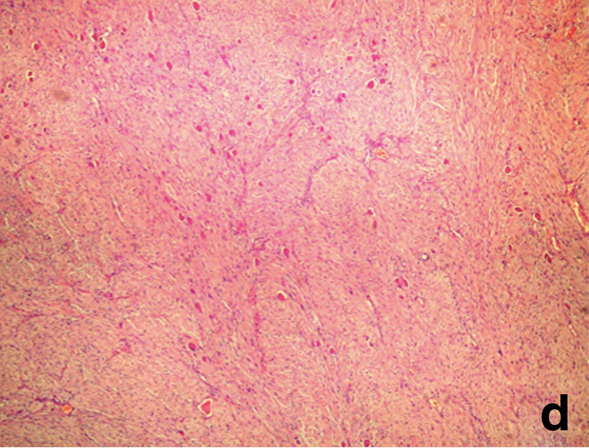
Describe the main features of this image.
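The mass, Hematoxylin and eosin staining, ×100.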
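This view shows a group of ganglion cells scattered through a pink, fibrillar spindle-cell stroma. The ganglion cells are large, rounded to polygonal and stand out by their abundant eosinophilic cytoplasm. Around them the stroma is made of interlacing bundles of elongated cells, denser toward the right edge.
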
